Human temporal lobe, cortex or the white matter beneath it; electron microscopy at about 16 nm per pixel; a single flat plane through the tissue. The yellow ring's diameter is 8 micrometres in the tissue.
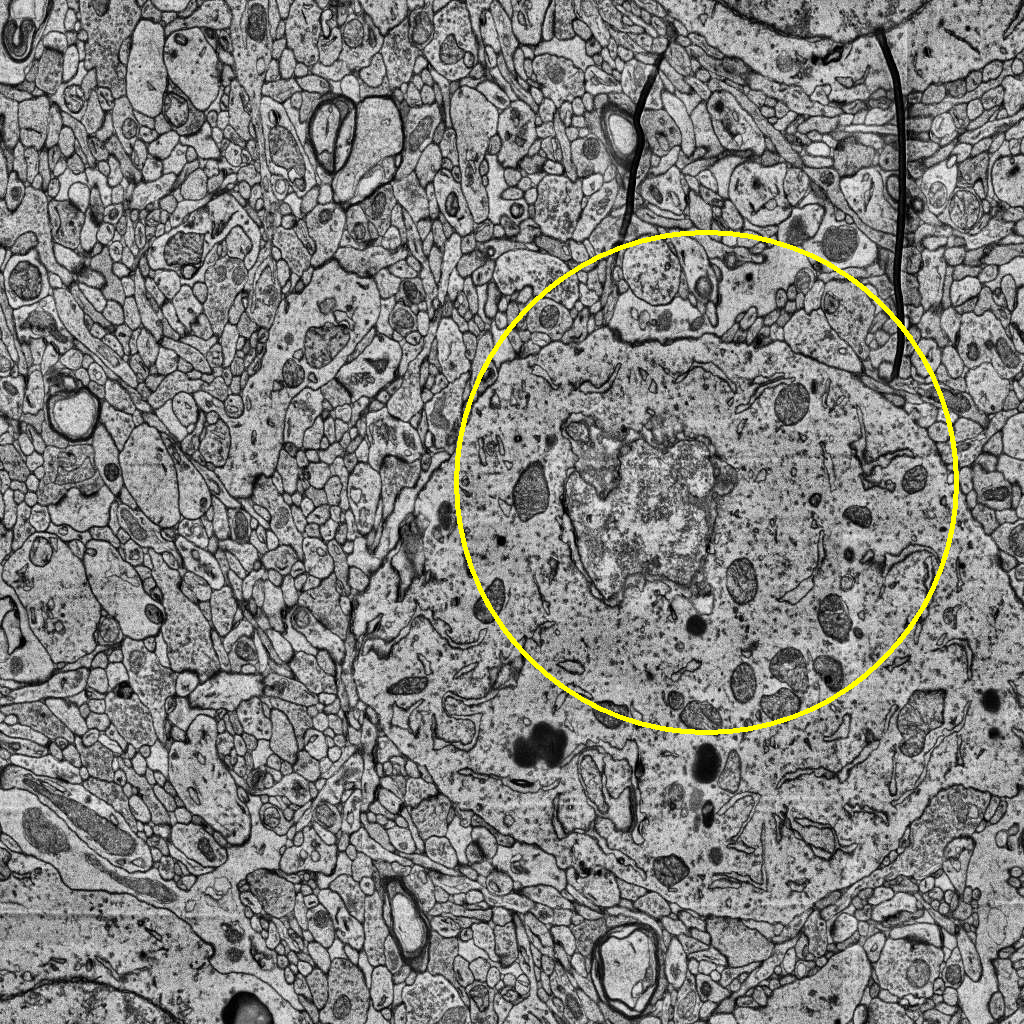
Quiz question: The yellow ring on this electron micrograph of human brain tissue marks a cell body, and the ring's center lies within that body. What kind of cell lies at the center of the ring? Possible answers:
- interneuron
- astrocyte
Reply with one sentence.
The ring's center lies on an interneuron.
